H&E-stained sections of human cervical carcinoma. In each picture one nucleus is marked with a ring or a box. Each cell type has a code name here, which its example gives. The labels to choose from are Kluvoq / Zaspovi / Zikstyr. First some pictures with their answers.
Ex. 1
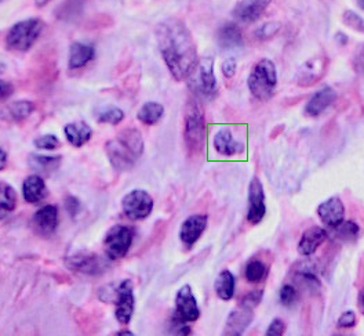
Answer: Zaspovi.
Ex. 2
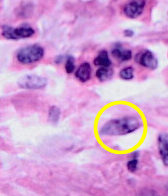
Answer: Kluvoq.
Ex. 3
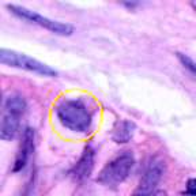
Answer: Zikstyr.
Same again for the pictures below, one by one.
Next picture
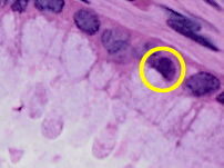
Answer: Zikstyr.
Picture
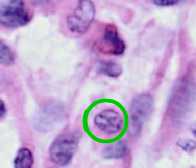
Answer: Kluvoq.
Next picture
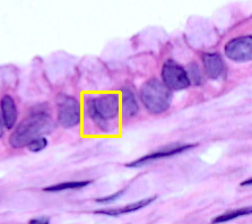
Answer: Zikstyr.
